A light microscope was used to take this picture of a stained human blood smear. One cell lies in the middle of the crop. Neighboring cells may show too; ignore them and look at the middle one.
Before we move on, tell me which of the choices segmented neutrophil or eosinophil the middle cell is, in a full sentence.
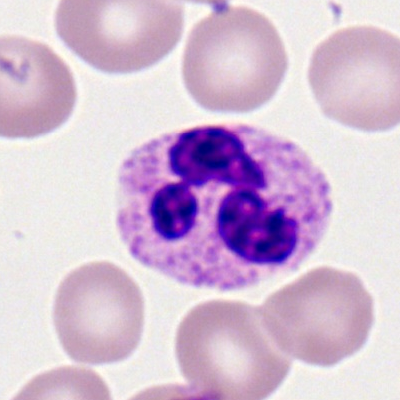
Standing at the centre of this crop is a segmented neutrophil.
